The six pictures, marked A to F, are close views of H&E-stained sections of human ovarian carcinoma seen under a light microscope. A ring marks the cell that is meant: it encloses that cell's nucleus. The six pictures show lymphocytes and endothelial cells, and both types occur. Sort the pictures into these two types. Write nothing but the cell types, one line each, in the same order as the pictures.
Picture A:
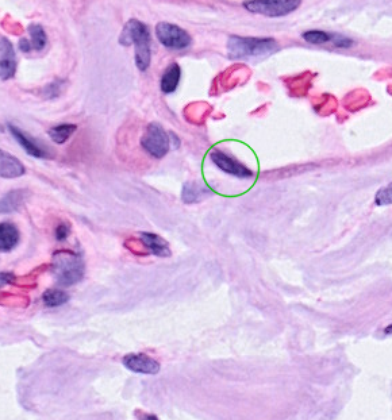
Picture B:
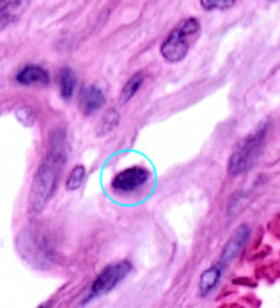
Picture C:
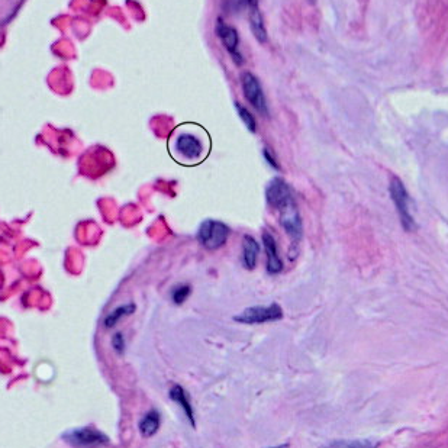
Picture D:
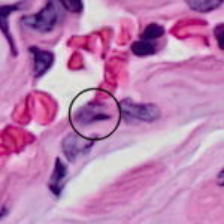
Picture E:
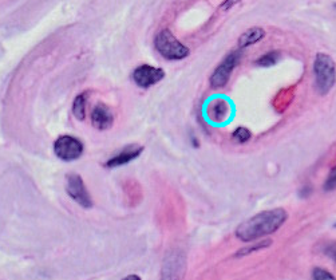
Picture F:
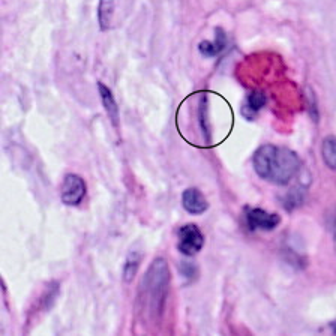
endothelial cell
lymphocyte
lymphocyte
endothelial cell
endothelial cell
endothelial cell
